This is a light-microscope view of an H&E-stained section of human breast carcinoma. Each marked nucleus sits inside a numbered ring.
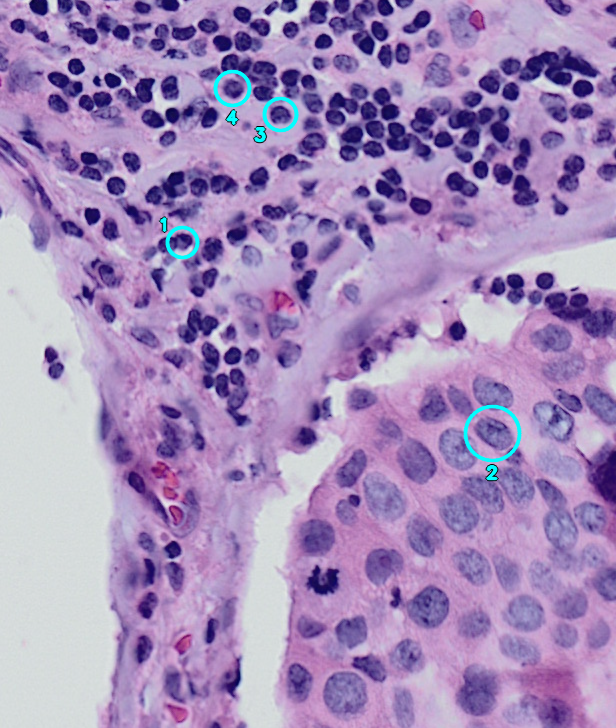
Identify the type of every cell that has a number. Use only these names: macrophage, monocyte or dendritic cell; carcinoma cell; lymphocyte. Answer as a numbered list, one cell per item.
1. lymphocyte
2. carcinoma cell
3. lymphocyte
4. lymphocyte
